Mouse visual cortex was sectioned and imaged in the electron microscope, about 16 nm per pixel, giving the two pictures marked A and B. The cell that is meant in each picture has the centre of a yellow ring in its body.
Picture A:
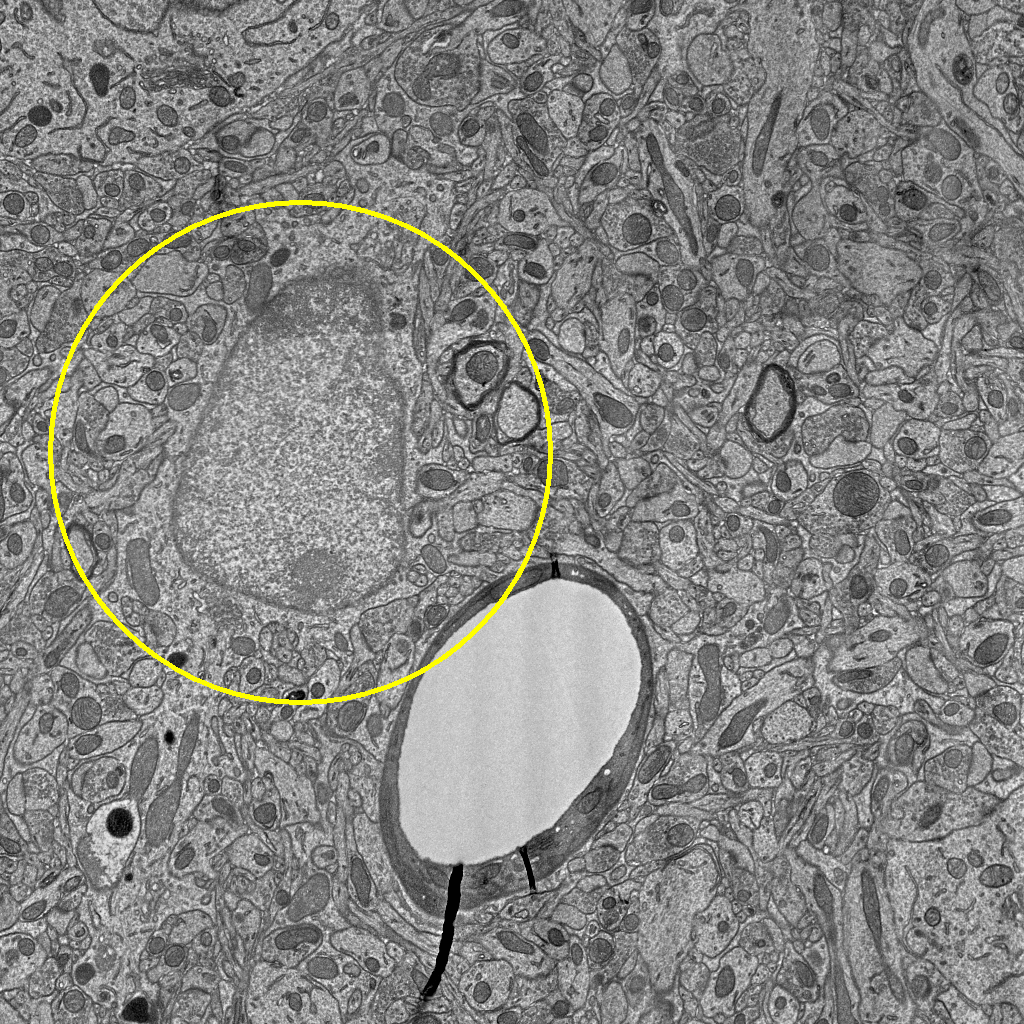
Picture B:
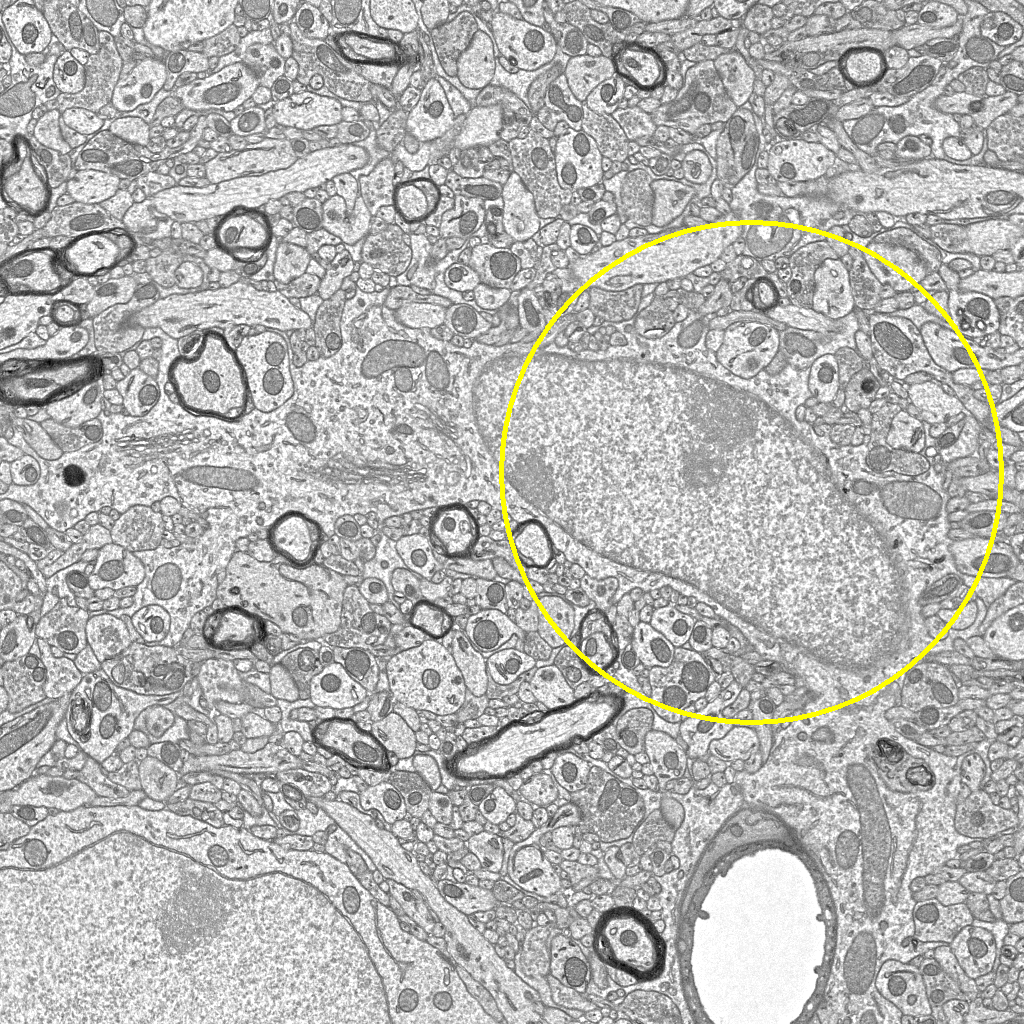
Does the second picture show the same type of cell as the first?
Yes, they are the same type: both are astrocytes.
